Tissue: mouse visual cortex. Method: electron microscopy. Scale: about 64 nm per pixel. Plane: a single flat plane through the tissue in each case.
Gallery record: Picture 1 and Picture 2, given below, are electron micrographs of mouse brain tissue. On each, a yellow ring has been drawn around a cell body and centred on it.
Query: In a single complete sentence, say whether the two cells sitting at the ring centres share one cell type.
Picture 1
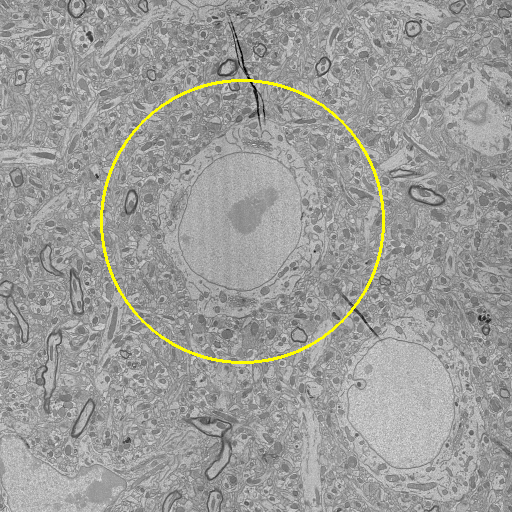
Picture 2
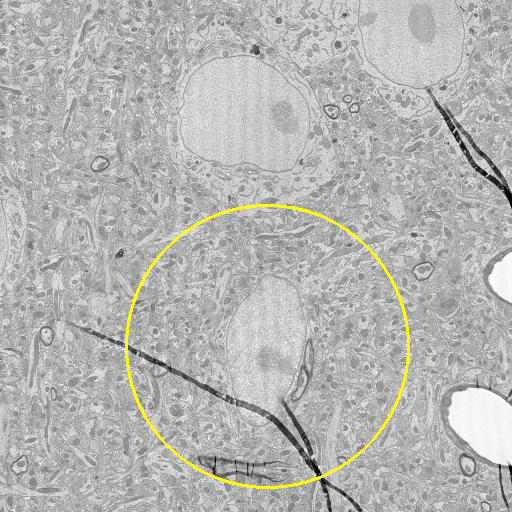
No, in the two pictures the cells at the rings' centres are of two separate types.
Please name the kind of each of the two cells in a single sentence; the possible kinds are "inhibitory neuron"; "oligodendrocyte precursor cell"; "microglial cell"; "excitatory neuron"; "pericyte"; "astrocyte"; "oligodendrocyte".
In the first picture the ring is centred on an excitatory neuron, and in the second on an astrocyte.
